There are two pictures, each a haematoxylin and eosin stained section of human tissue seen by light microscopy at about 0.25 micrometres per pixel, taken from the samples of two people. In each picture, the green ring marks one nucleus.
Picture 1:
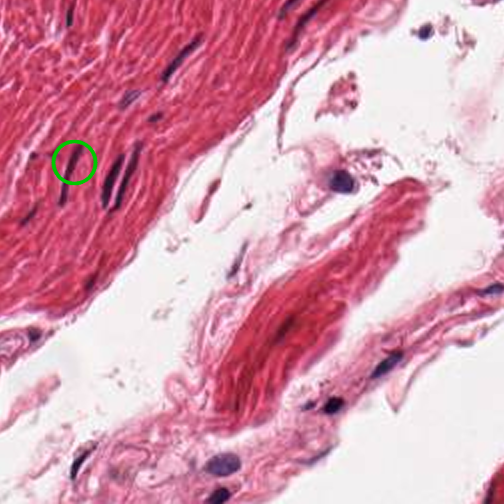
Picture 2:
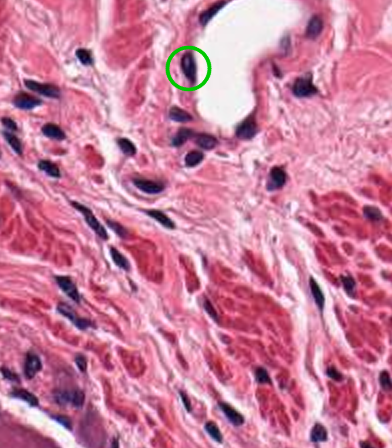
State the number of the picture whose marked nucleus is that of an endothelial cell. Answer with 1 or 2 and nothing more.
2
